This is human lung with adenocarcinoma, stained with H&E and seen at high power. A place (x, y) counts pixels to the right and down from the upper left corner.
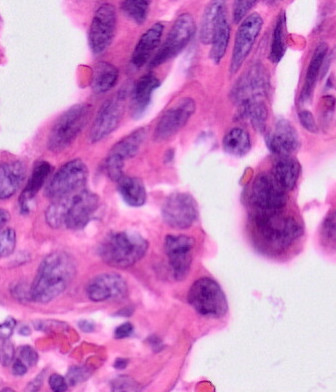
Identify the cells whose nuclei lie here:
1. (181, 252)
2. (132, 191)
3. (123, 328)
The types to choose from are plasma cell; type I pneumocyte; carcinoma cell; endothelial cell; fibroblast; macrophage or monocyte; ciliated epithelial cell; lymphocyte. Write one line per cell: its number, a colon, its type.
1: carcinoma cell
2: carcinoma cell
3: lymphocyte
